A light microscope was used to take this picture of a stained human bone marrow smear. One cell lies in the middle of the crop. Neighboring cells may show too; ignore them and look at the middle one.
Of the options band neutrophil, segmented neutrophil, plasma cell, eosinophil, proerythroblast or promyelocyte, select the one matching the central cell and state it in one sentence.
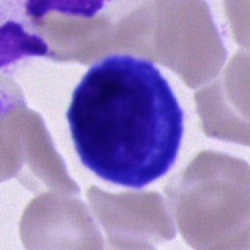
In the centre of this crop there is a plasma cell.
